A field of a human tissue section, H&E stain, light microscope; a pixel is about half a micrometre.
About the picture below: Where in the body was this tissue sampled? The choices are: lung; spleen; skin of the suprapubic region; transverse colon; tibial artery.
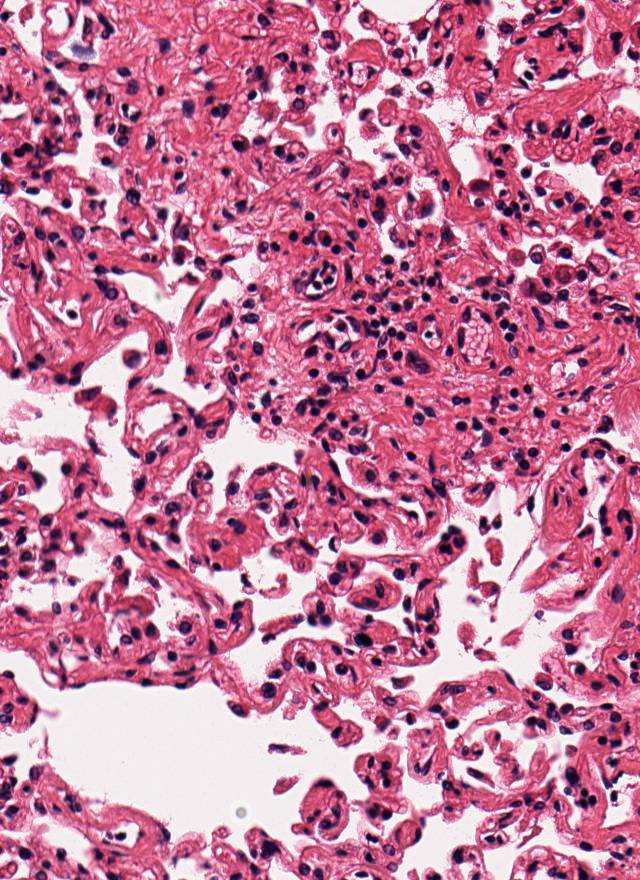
lung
